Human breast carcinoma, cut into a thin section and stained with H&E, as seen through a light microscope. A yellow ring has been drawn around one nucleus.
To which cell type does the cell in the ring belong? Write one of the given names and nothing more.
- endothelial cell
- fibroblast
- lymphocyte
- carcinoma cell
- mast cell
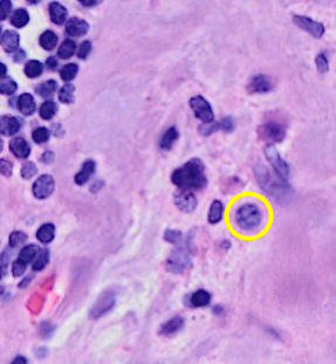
mast cell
